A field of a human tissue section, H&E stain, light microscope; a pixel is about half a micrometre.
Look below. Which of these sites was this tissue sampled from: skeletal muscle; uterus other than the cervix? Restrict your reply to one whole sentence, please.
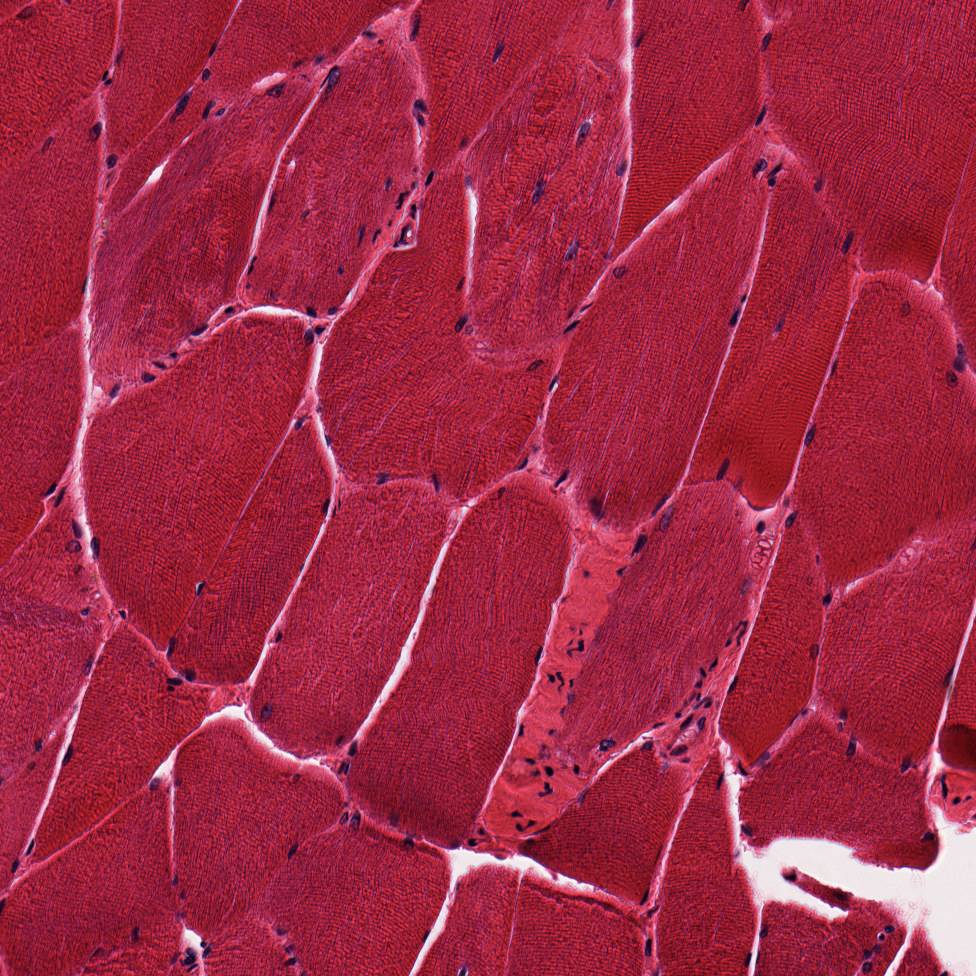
The slide carries a tissue sample from the skeletal muscle.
